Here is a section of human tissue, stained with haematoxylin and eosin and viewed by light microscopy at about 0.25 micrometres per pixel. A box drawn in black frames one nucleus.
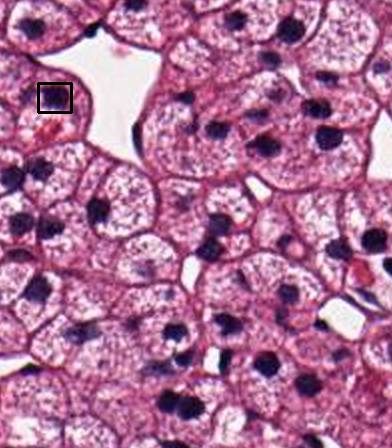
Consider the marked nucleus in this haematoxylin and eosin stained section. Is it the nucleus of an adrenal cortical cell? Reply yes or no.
yes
